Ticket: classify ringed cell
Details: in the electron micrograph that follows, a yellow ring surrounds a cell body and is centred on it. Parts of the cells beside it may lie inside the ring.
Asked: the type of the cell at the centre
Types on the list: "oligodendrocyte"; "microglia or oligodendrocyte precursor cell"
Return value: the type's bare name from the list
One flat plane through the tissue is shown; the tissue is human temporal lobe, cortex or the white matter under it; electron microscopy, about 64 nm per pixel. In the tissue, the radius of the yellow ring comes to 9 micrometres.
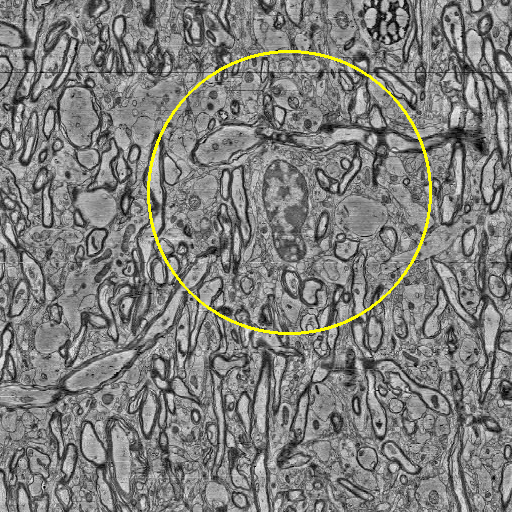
microglia or oligodendrocyte precursor cell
